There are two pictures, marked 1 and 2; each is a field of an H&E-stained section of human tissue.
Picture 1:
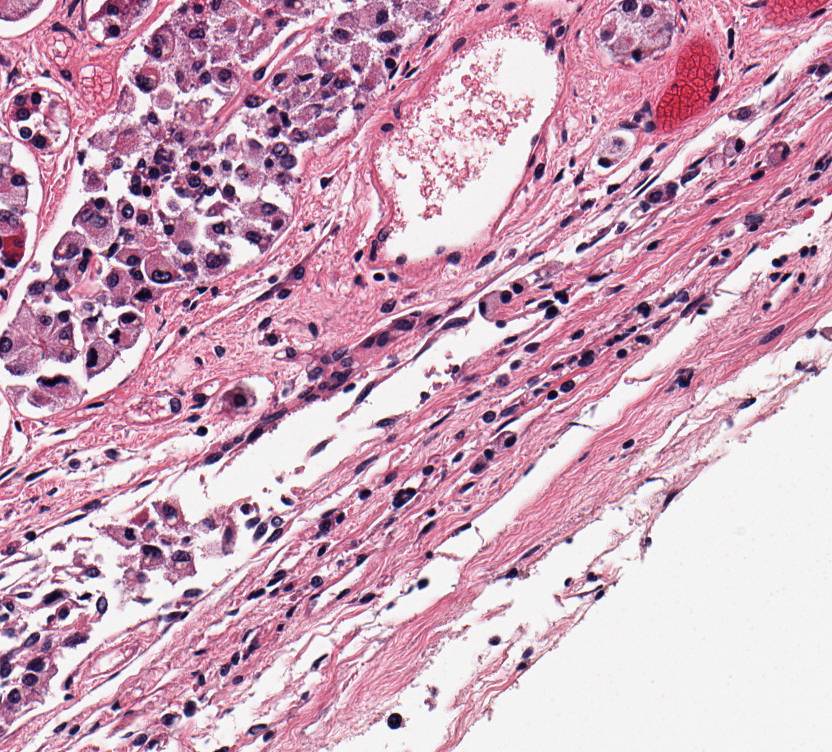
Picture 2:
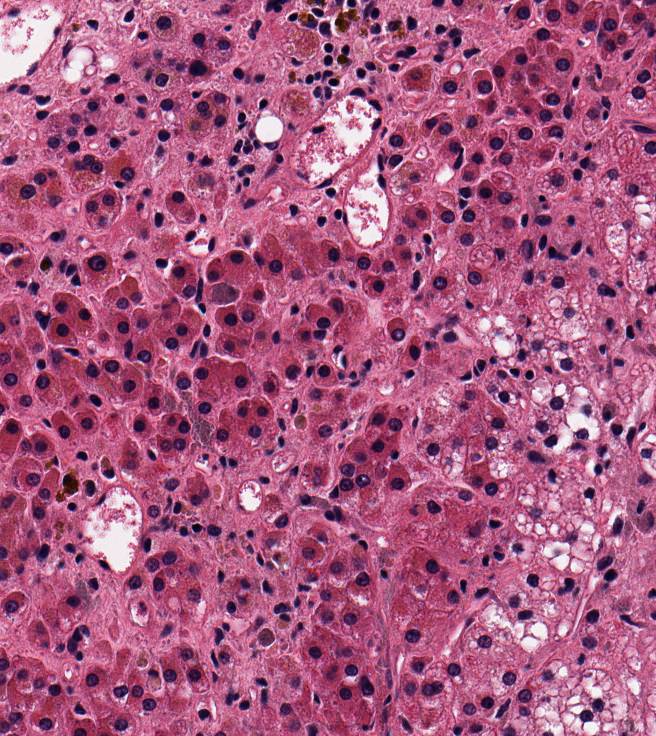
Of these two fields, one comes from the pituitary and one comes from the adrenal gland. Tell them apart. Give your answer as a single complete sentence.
Picture 2 comes from the adrenal gland, while picture 1 comes from the pituitary.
